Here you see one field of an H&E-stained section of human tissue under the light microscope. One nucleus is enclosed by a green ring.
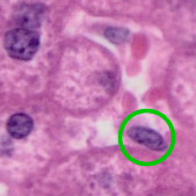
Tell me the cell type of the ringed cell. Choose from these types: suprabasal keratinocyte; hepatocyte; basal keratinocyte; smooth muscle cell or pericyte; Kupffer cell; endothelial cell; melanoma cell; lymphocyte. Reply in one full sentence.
This is a Kupffer cell.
